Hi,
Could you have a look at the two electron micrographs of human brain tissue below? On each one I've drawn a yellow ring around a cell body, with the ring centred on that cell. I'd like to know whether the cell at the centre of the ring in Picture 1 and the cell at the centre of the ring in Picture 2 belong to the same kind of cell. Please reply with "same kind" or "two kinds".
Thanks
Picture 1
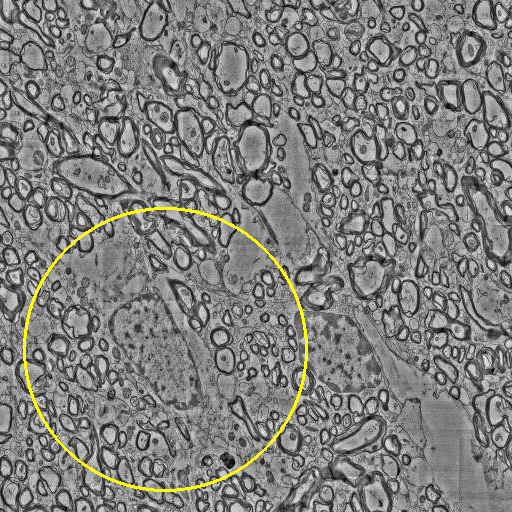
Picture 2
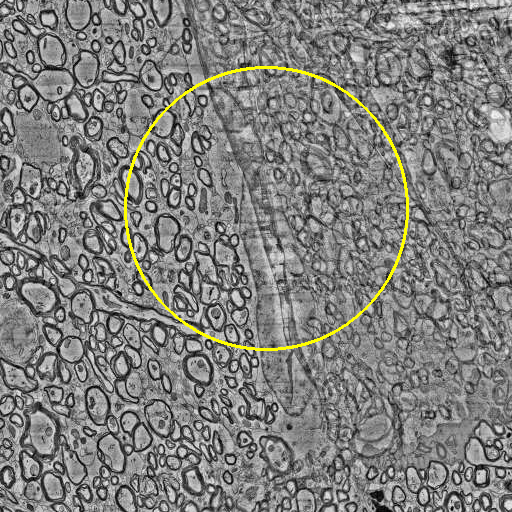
same kind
